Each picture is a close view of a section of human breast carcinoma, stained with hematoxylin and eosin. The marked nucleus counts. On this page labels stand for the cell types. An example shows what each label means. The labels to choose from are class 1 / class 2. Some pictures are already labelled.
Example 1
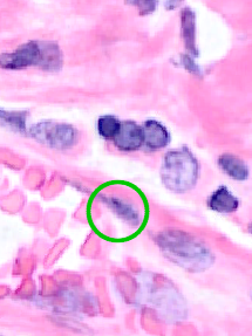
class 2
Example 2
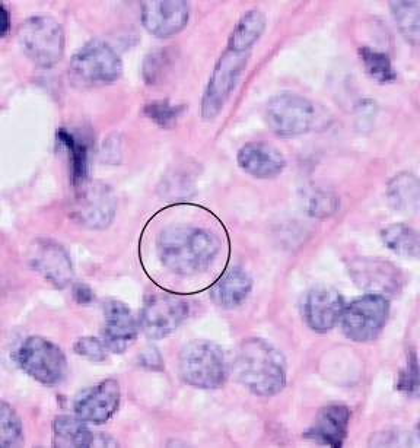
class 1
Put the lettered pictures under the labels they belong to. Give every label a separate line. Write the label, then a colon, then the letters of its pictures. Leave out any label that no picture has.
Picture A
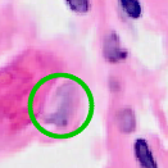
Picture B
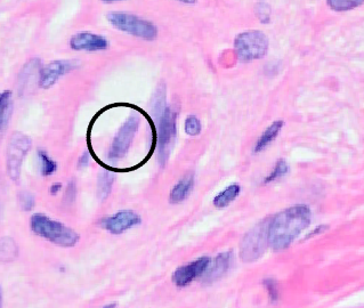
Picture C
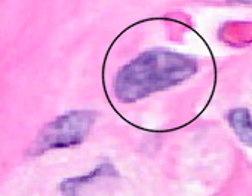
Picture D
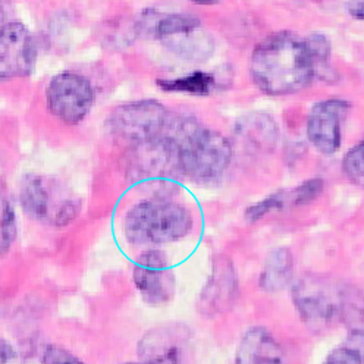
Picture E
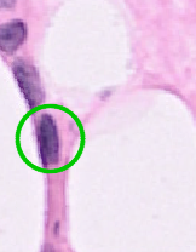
class 1: D
class 2: A, B, C, E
